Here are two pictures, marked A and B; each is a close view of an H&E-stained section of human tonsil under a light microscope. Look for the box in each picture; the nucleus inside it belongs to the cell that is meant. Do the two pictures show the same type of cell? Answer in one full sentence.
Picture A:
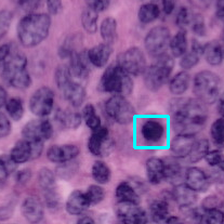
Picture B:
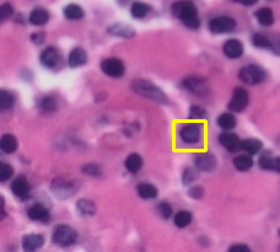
No; the cell in picture A is a proliferating B cell, while the one in picture B is a plasma cell.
